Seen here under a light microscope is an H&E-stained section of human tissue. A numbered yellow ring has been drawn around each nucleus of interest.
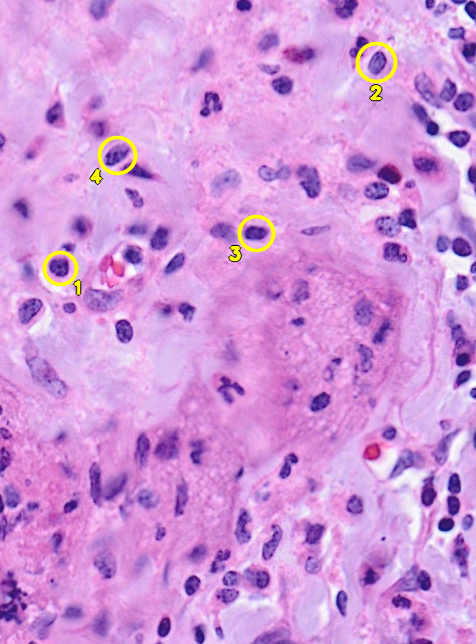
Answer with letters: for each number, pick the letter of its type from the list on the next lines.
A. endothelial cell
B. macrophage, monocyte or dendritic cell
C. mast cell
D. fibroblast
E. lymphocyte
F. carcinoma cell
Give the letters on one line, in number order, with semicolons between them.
C; E; E; E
